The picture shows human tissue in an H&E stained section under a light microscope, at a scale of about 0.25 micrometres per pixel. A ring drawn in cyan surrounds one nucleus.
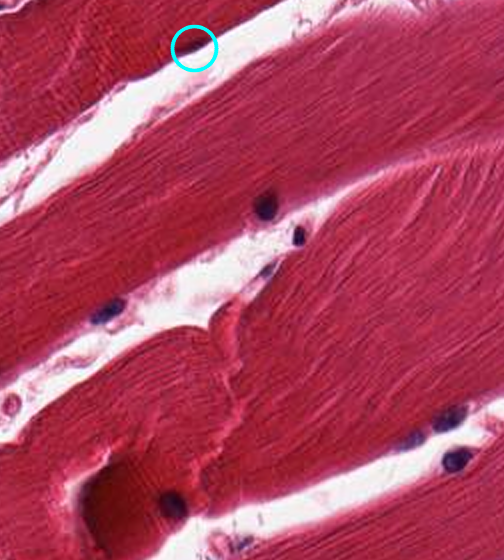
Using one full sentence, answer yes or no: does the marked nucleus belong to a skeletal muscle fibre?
Yes, the marked nucleus is contained in a skeletal muscle fibre.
